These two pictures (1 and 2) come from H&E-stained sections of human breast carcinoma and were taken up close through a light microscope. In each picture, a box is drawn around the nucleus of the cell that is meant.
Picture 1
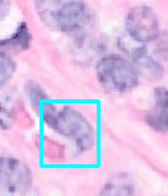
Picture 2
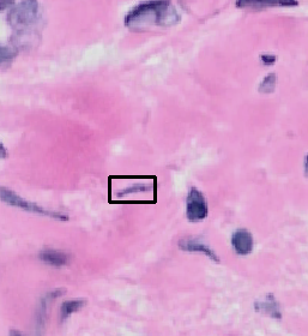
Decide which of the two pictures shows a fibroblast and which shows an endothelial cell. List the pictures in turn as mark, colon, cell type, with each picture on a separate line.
1: endothelial cell
2: fibroblast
